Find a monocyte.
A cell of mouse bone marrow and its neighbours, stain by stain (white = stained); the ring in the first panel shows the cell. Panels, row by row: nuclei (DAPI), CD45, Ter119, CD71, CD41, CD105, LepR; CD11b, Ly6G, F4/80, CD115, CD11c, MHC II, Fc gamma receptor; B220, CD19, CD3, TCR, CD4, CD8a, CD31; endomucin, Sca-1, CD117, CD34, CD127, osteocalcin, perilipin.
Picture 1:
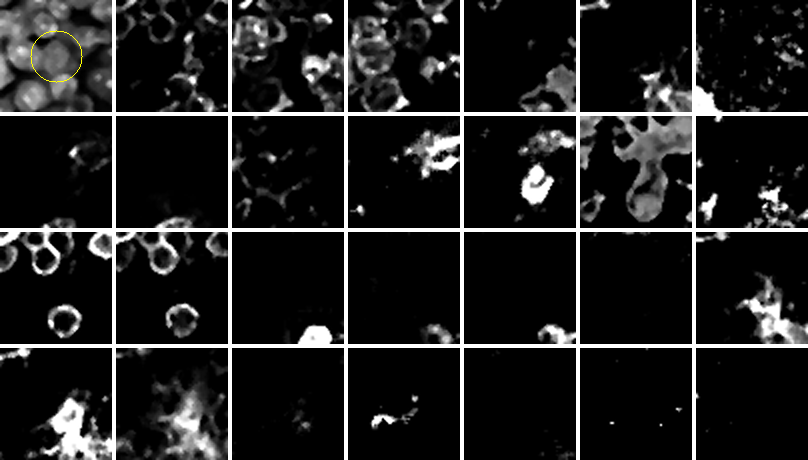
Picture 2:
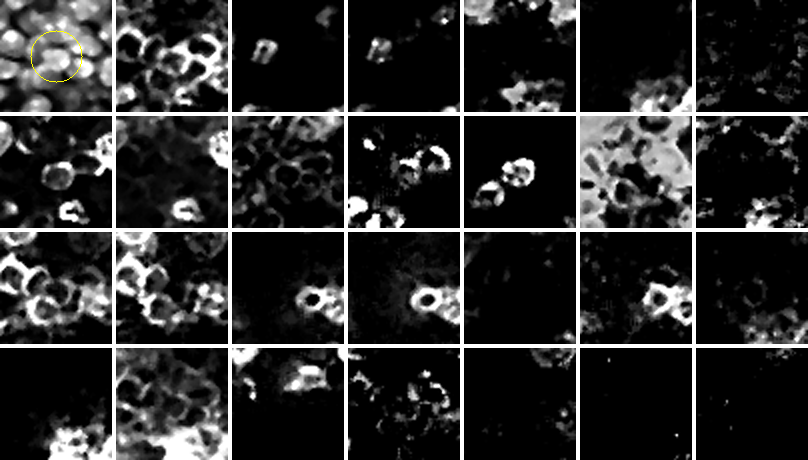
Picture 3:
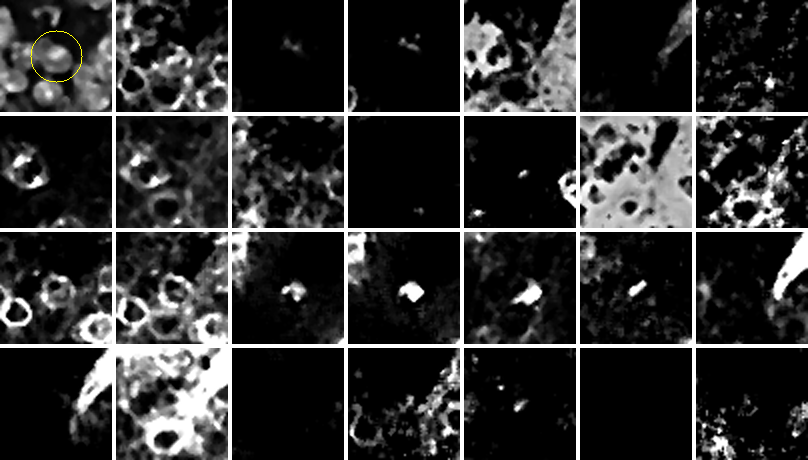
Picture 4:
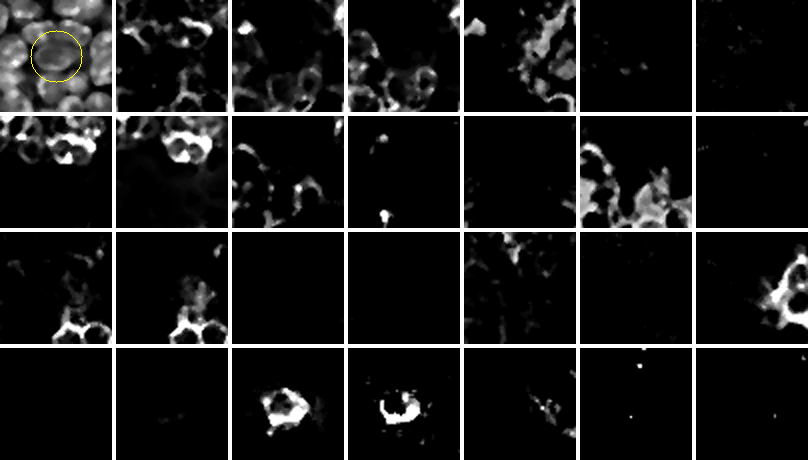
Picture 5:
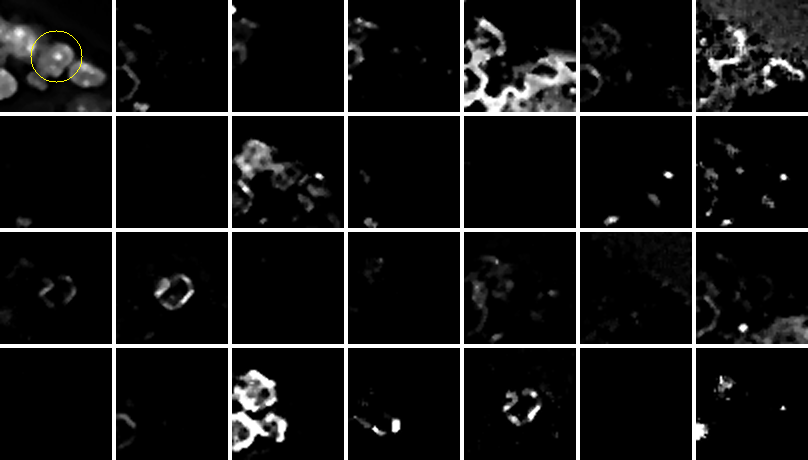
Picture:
2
